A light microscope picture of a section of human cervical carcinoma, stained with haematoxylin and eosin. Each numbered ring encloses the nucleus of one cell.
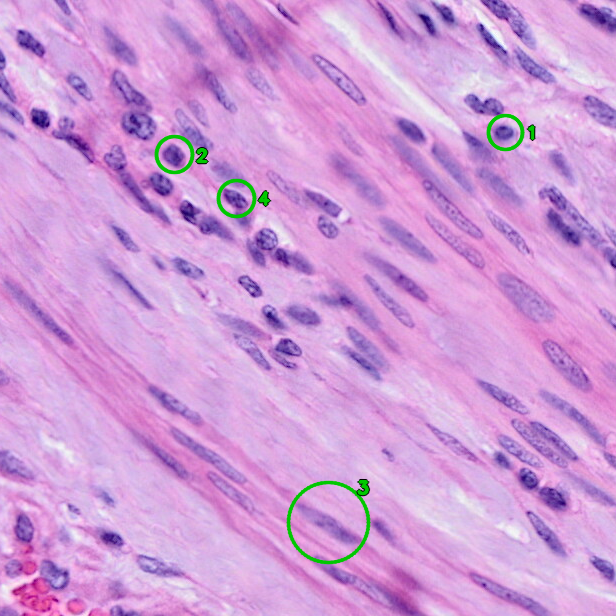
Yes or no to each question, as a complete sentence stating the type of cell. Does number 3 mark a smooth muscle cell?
Yes, the cell pointed out as number 3 is a smooth muscle cell.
